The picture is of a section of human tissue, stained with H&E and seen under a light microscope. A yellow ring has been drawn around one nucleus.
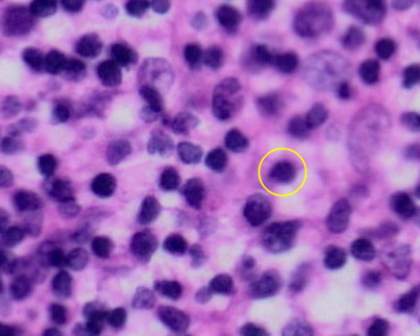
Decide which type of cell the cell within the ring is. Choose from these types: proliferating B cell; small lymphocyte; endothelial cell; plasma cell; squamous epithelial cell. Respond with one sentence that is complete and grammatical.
Cell type answer for this item: the cell within the ring is a proliferating B cell.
